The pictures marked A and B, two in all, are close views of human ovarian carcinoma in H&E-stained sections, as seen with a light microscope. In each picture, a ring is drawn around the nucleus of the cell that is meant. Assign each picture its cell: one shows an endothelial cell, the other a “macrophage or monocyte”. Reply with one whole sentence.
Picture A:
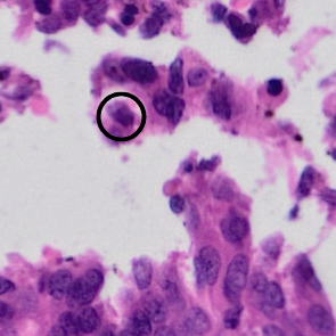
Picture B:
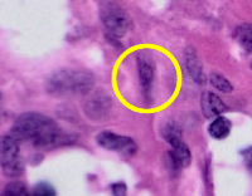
It is picture A that shows a “macrophage or monocyte”, and picture B that shows an endothelial cell.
